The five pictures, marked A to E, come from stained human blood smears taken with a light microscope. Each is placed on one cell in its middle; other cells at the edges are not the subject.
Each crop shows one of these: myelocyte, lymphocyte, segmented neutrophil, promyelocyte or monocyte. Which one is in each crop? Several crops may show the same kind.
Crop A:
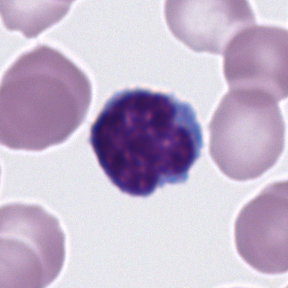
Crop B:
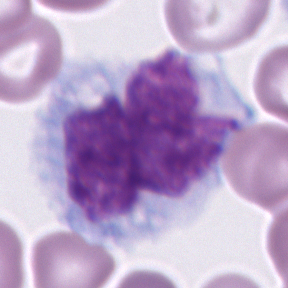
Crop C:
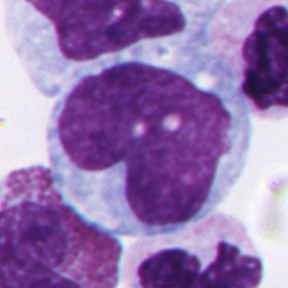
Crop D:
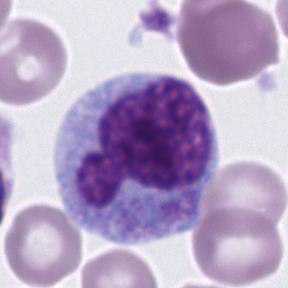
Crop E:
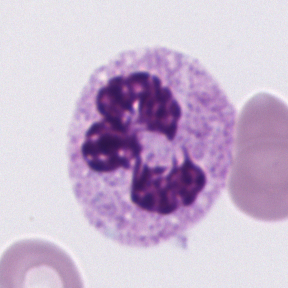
A: lymphocyte
B: monocyte
C: monocyte
D: monocyte
E: segmented neutrophil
